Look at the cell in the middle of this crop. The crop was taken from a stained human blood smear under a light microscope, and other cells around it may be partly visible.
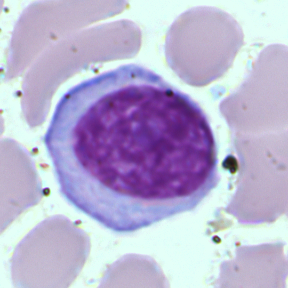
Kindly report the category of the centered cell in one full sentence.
The cell under consideration, at the middle of the crop, is a plasma cell.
